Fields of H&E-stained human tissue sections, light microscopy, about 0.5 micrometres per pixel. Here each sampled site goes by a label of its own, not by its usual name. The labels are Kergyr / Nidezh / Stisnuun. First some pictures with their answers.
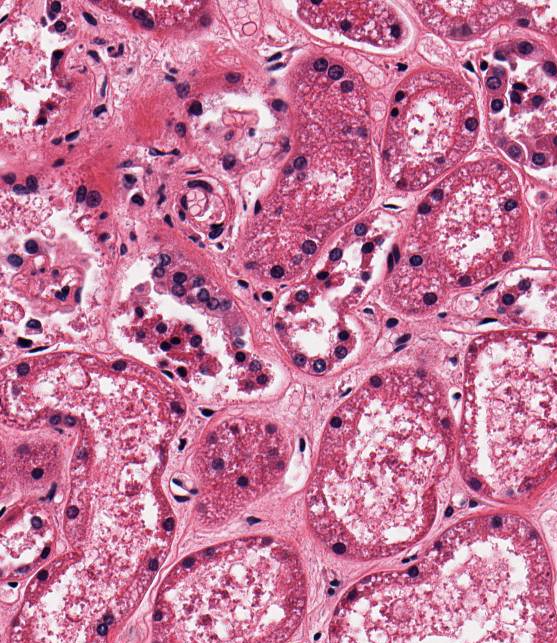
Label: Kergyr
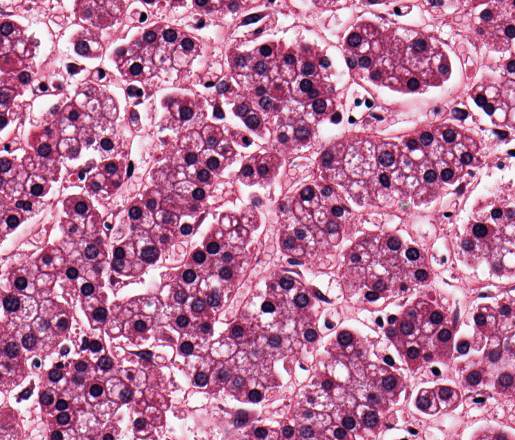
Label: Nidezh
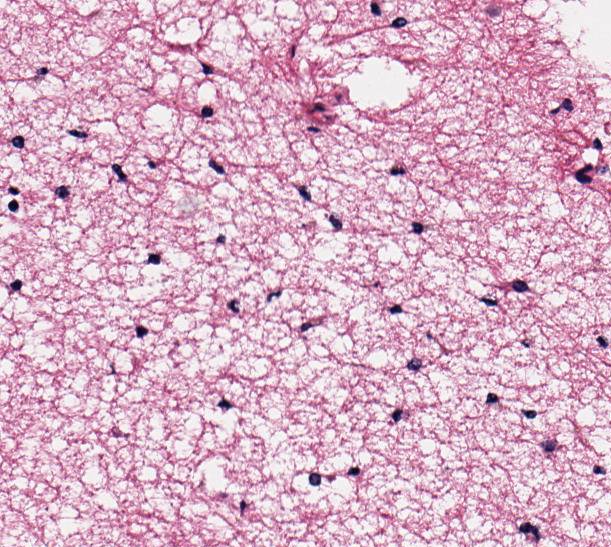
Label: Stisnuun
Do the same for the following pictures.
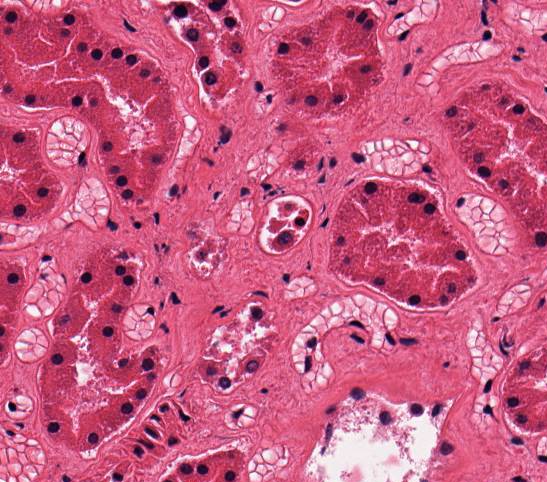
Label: Kergyr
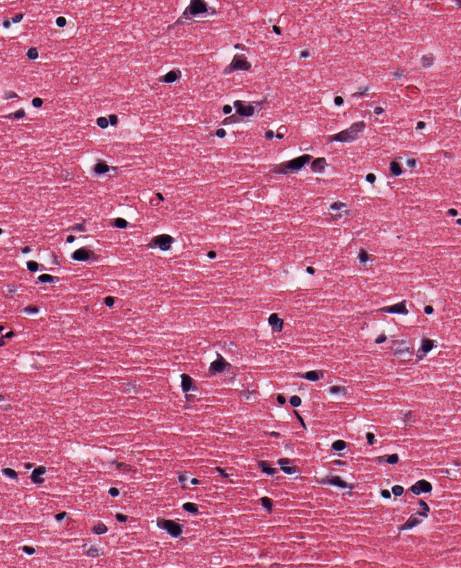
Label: Stisnuun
